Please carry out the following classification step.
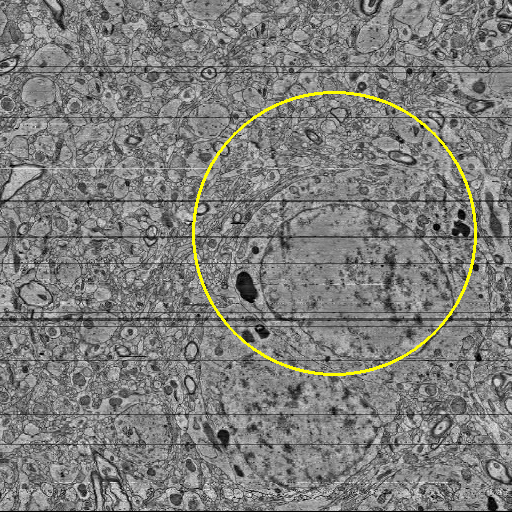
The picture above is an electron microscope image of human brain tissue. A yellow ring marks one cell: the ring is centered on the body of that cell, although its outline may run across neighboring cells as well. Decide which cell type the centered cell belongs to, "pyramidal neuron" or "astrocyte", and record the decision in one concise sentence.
The cell centered in the yellow ring is a pyramidal neuron.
